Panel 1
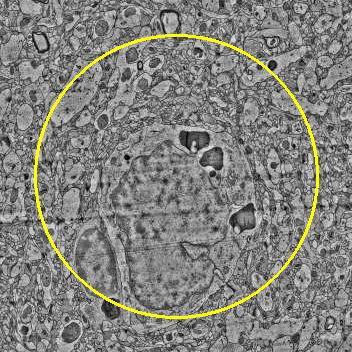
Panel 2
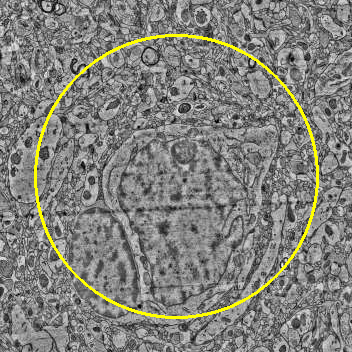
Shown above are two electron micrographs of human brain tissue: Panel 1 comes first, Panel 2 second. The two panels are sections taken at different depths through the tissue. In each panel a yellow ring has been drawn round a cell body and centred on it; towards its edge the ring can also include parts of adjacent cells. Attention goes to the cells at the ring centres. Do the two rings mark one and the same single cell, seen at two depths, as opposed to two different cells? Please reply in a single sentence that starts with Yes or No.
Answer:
Yes, the same cell turns up inside each of the two rings.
